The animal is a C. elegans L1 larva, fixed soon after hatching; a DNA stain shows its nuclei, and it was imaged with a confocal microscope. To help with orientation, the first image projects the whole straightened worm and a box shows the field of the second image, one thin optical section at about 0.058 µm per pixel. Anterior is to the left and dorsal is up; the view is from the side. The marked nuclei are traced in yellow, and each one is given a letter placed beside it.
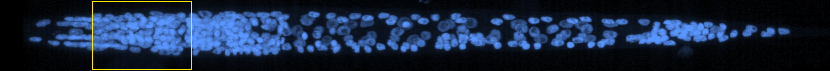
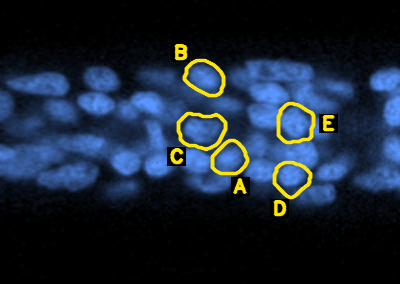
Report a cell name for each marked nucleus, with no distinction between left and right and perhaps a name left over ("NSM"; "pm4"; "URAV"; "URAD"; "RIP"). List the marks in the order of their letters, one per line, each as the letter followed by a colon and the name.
A: NSM
B: URAD
C: pm4
D: URAV
E: RIP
